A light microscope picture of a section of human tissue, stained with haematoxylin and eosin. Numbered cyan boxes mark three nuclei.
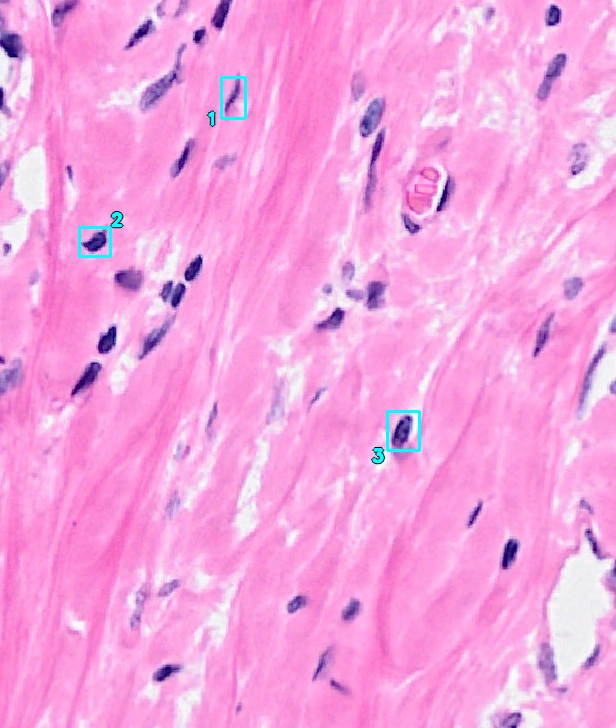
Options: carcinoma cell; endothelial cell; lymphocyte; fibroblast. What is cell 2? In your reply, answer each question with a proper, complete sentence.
The cell carrying label 2 is identified as a lymphocyte.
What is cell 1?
The correct label for cell 1 is a fibroblast.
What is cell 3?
The cell marked with the number 3 is a lymphocyte.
